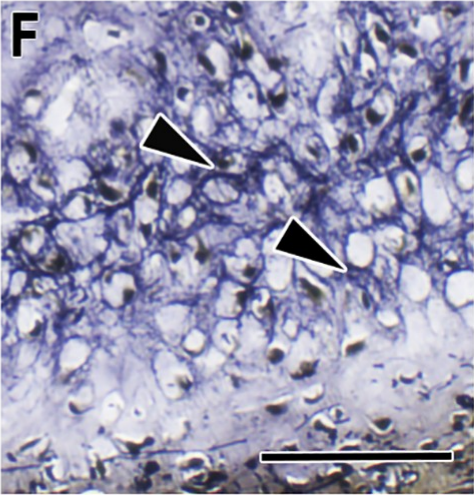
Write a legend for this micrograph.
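This is cartilage with closely packed rounded chondrocytes in clear lacunae within a pale violet matrix. A fine dark blue network of threads outlines many of the lacunae, giving a meshwork look around the cells. The network is densest in the upper and middle part of the field and fades toward a paler region near the bottom. Some lacunae contain a small dark cell, others look empty.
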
